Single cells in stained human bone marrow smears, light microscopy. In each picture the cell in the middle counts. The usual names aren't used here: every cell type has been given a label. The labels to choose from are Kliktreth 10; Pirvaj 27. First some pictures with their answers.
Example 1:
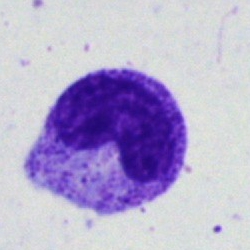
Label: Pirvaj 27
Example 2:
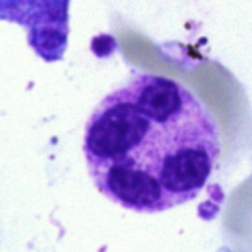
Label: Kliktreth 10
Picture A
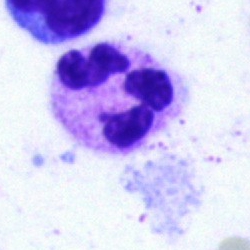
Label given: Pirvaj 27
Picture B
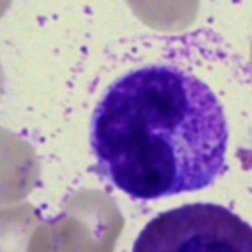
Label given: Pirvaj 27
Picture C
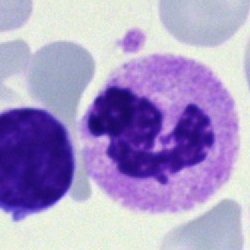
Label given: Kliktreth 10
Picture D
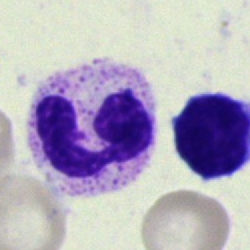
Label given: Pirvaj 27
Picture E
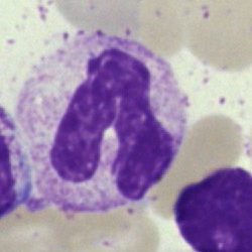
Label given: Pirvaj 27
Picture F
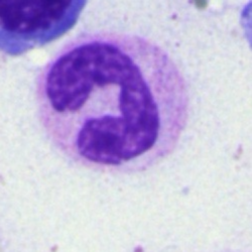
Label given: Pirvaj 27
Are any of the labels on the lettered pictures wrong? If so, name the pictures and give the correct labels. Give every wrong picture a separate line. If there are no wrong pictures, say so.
Wrong: A (Pirvaj 27); correct: Kliktreth 10
Wrong: D (Pirvaj 27); correct: Kliktreth 10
